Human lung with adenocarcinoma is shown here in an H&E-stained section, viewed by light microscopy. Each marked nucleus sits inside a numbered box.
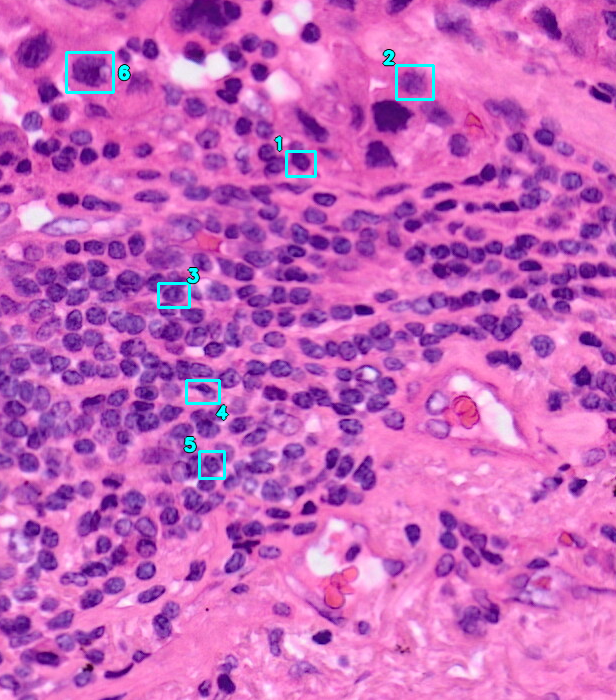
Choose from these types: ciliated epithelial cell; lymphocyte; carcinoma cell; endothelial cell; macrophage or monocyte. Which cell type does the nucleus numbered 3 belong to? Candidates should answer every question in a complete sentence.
The cell referenced by the number 3 is a lymphocyte in this field.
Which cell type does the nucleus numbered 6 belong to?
It is as a carcinoma cell that the cell numbered 6 is identified.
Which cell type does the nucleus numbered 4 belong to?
Classified as a lymphocyte is the cell with the number 4.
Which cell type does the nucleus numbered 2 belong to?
In this section, number 2 marks a carcinoma cell.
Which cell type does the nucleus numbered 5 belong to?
The numeral 5 marks a lymphocyte in this section.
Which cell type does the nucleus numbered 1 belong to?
The numeral 1 marks a lymphocyte in this section.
